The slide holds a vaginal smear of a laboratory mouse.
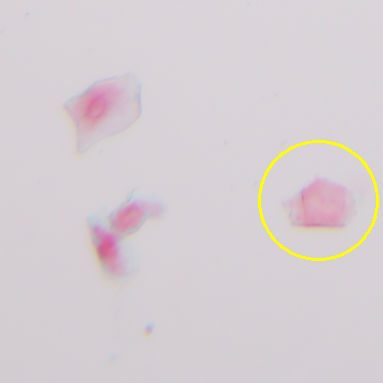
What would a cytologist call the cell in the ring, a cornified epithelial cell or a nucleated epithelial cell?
A cytologist would call it a cornified epithelial cell.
